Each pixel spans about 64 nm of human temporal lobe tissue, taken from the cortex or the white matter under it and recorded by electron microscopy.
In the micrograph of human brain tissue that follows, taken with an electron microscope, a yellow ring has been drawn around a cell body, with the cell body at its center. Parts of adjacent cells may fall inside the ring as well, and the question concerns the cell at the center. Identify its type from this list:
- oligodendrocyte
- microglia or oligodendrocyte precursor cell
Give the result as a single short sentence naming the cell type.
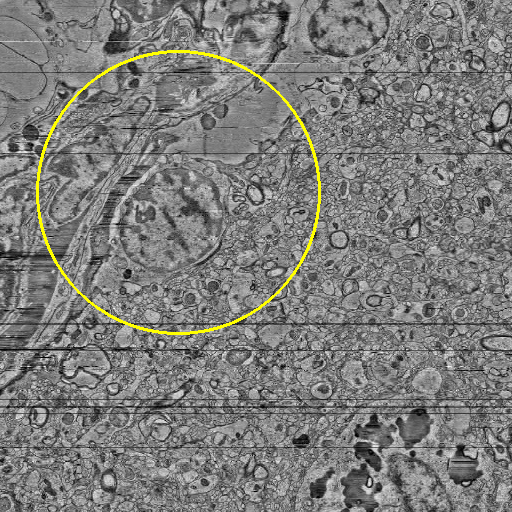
The ring is centered on an oligodendrocyte.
